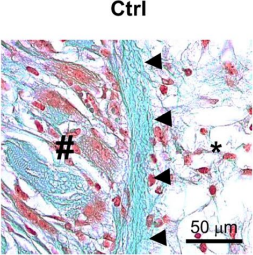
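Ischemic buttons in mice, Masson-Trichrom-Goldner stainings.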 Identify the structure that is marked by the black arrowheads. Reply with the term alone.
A: collagen capsules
